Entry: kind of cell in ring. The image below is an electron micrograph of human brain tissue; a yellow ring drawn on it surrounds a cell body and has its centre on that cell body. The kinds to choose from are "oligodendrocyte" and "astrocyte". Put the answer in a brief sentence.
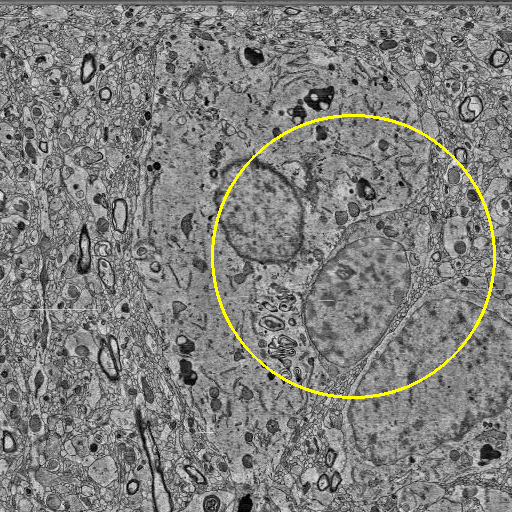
The ring has been drawn around an oligodendrocyte.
